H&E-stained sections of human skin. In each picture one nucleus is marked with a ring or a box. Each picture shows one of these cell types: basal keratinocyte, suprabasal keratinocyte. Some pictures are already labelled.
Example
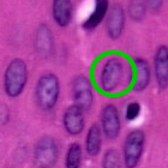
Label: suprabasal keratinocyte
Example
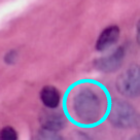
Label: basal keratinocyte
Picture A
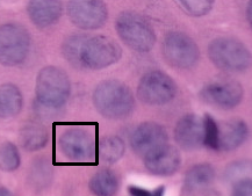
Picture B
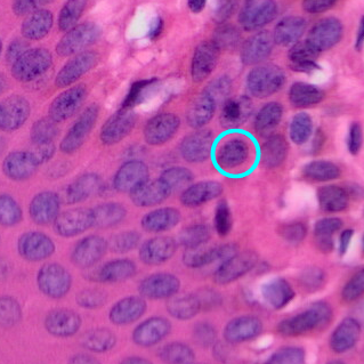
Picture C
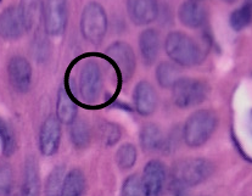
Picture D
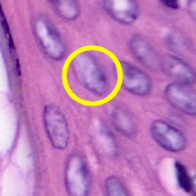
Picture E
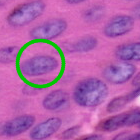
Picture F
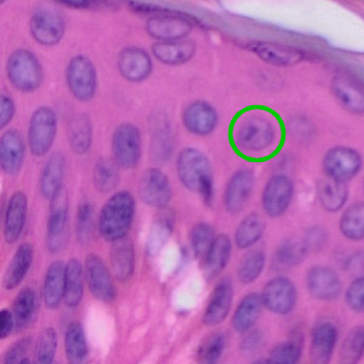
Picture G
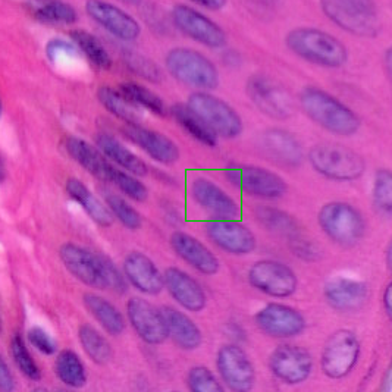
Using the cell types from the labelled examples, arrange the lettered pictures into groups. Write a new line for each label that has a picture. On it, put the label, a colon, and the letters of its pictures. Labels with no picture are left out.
basal keratinocyte: B, C
suprabasal keratinocyte: A, D, E, F, G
